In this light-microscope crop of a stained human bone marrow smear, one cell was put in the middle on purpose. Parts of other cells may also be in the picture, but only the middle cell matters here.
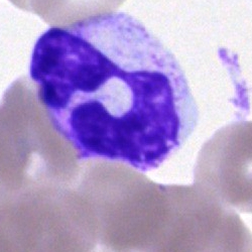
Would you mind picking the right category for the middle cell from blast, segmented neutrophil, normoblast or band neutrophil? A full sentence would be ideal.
Of the cells in this crop, the central one is a segmented neutrophil.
